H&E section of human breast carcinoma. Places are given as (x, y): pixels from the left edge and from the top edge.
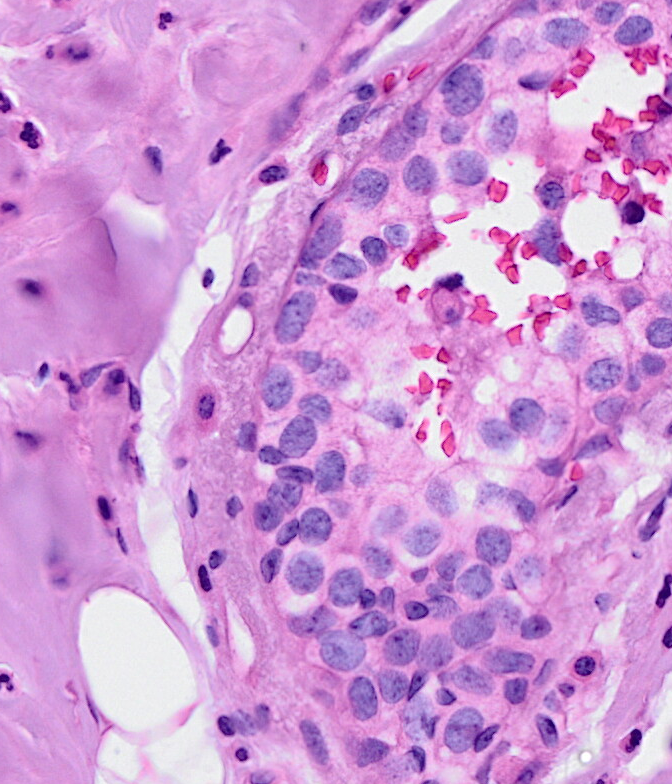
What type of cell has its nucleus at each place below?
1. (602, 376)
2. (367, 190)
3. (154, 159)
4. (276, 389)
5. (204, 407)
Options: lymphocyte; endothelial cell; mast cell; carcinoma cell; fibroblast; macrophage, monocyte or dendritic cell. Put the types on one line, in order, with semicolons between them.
carcinoma cell; carcinoma cell; fibroblast; carcinoma cell; mast cell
